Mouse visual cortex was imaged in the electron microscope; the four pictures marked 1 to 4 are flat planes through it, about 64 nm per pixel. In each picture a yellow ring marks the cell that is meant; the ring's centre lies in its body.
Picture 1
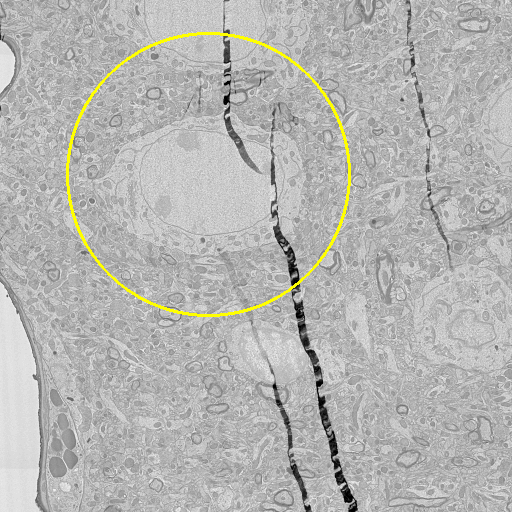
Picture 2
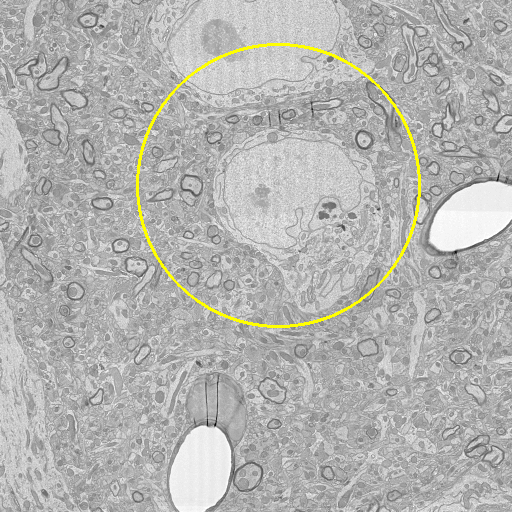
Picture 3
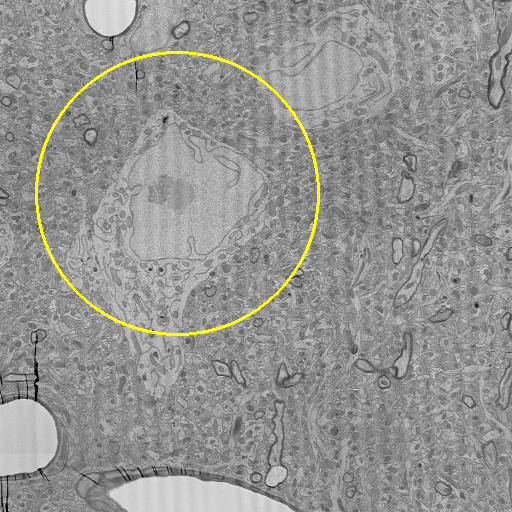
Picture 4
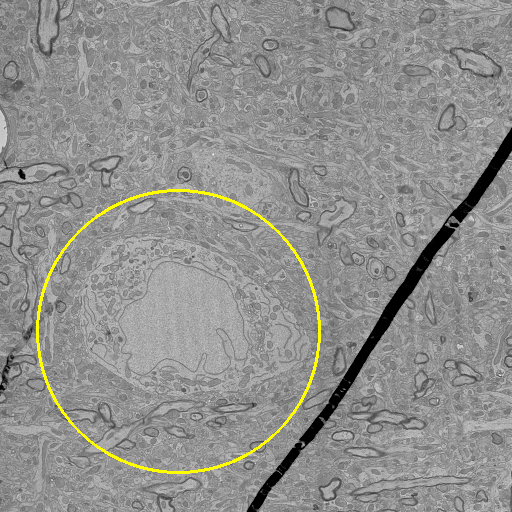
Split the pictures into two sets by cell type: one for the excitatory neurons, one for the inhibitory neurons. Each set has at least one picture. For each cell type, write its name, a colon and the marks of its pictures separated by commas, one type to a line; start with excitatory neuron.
excitatory neuron: 1
inhibitory neuron: 2, 3, 4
